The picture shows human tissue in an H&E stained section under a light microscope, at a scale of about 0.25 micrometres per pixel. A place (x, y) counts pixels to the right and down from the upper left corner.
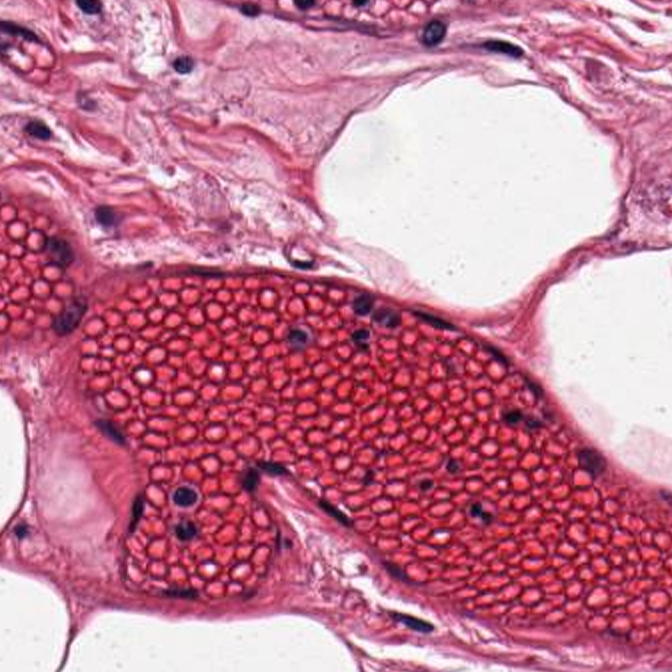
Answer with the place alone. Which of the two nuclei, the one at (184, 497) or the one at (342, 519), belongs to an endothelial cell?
(342, 519)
